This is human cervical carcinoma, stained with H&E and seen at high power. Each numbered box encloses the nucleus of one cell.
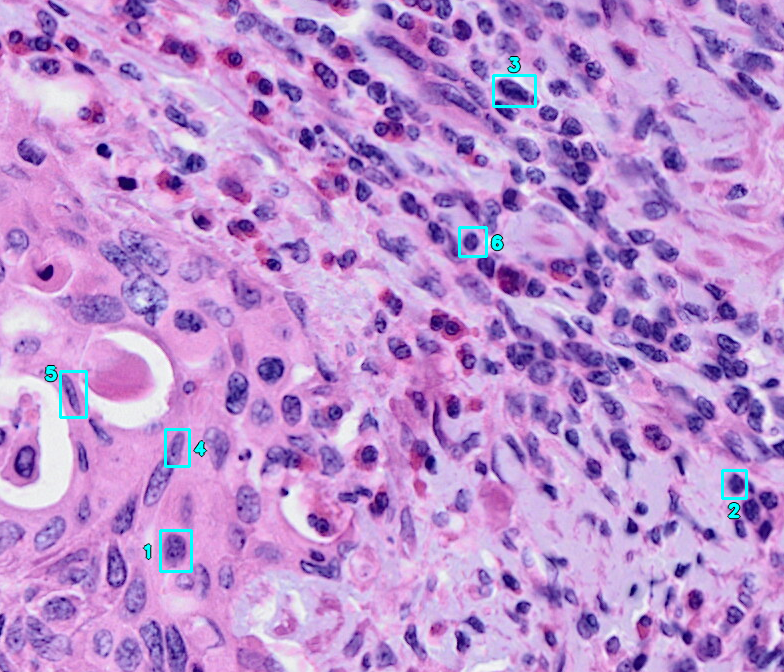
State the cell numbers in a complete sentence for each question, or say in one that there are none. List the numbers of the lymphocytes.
The cells numbered 2, 3 and 6 fall into the category of lymphocytes.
